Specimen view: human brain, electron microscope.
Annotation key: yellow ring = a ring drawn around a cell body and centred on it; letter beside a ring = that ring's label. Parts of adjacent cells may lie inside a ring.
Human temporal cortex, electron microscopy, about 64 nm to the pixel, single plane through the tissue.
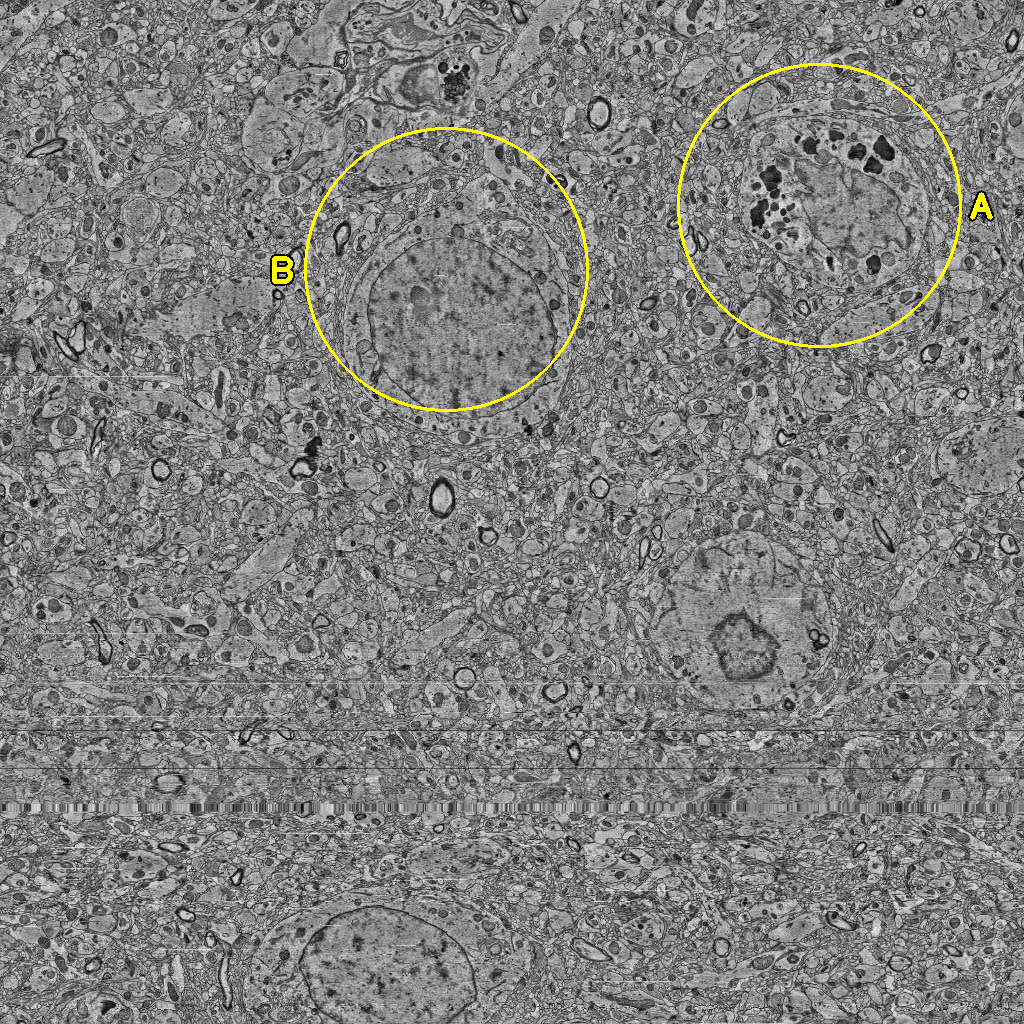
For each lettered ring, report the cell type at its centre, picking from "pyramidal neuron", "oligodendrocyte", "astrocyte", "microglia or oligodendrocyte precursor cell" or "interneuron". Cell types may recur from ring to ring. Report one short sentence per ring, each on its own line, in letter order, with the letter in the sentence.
The cell at the centre of ring A is an interneuron.
The cell at the centre of ring B is a pyramidal neuron.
